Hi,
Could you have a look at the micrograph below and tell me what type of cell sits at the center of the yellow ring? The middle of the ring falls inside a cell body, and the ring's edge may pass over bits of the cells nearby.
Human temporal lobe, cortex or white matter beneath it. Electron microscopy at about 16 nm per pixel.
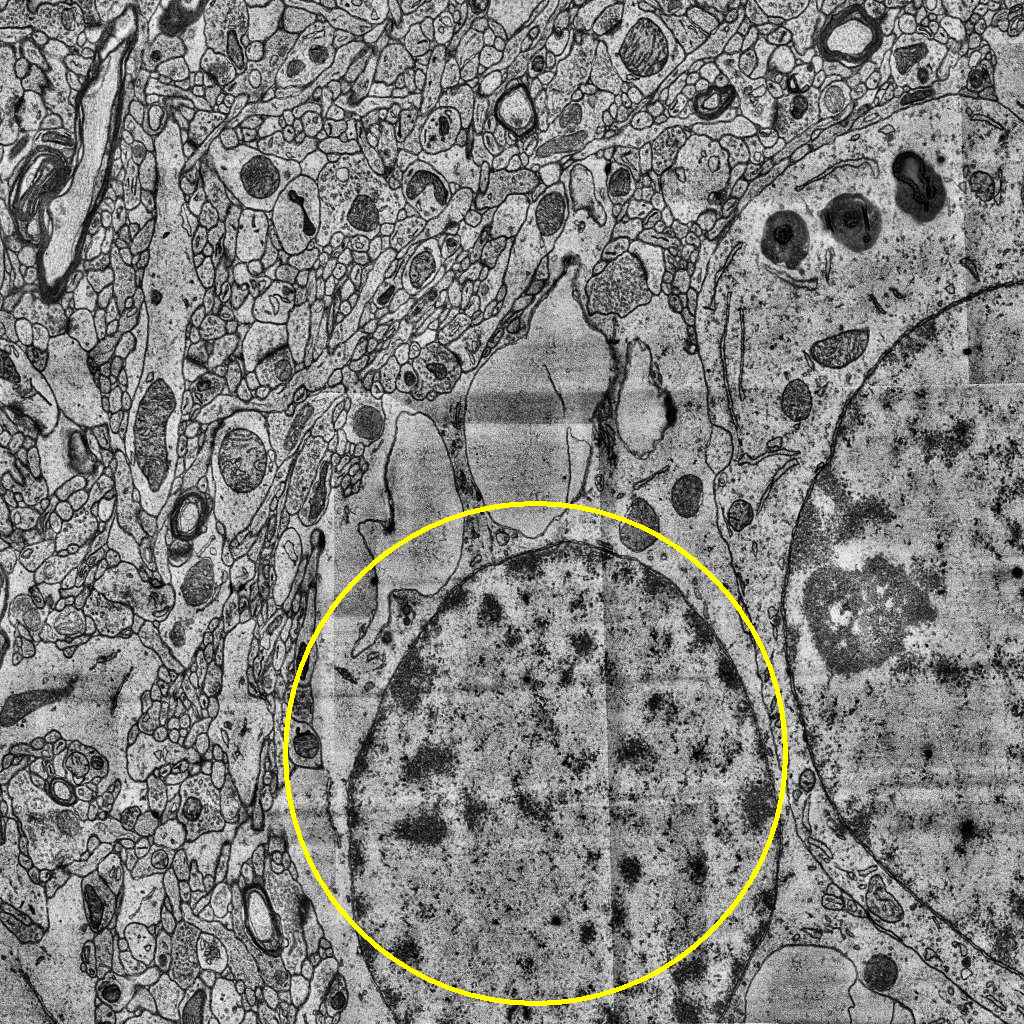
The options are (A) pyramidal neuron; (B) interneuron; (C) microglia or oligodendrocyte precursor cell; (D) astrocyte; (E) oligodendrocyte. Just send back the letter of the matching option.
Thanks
D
